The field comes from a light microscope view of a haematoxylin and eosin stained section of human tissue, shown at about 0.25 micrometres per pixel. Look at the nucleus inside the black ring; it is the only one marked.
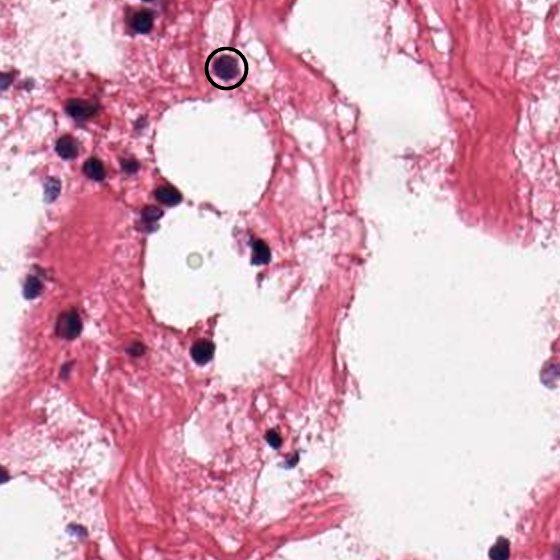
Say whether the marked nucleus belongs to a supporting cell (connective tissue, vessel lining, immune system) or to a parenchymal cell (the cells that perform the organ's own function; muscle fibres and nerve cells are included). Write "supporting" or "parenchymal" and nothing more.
supporting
